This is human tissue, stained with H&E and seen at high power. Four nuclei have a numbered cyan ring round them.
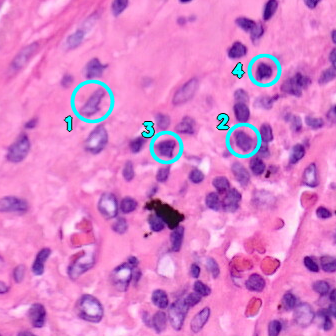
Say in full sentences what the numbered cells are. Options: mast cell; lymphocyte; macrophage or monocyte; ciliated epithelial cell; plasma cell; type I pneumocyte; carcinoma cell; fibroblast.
Cell 1 is a fibroblast, cell 2 is a lymphocyte, cell 3 is a lymphocyte and cell 4 is a lymphocyte.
